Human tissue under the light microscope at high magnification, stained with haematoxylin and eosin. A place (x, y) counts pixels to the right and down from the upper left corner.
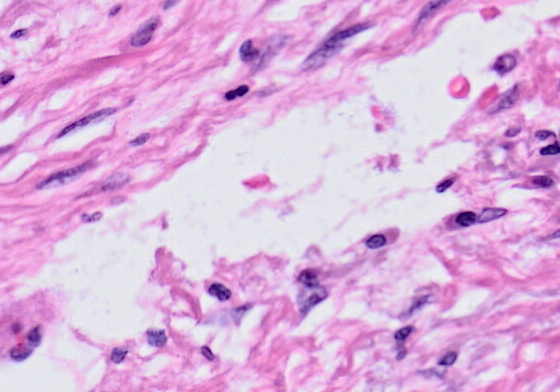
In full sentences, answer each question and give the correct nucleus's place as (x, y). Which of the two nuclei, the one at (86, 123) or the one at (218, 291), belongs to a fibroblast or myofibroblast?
The nucleus of a fibroblast or myofibroblast is the one found at (86, 123), not the other.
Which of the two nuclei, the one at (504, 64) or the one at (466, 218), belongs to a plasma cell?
The nucleus whose cell is a plasma cell is the one at (466, 218).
